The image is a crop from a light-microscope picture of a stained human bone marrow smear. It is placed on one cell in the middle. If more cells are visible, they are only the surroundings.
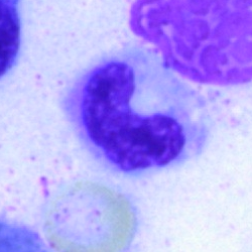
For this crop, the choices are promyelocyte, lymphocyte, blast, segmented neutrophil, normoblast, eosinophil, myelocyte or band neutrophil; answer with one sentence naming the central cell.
Positioned in the middle of the crop is a band neutrophil.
